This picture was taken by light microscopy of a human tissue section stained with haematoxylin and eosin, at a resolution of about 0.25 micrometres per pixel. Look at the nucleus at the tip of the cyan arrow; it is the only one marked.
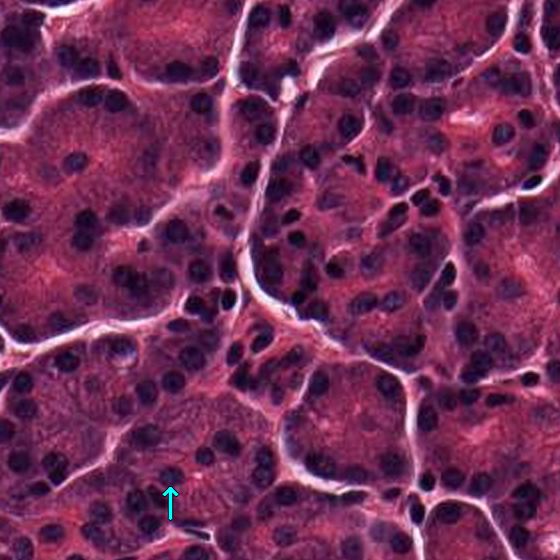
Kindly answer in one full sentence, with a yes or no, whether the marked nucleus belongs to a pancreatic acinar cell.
Yes, in this section the marked nucleus belongs to a pancreatic acinar cell.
